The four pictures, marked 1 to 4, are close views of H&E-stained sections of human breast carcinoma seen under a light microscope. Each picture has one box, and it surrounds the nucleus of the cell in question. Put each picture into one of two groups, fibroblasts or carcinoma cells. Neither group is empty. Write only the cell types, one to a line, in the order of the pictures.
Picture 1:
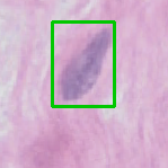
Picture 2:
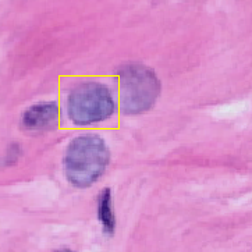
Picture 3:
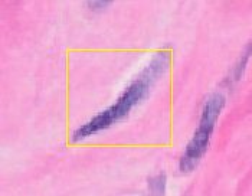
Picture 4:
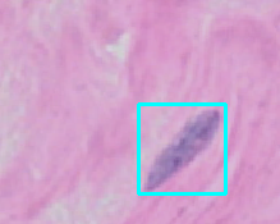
fibroblast
carcinoma cell
fibroblast
fibroblast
